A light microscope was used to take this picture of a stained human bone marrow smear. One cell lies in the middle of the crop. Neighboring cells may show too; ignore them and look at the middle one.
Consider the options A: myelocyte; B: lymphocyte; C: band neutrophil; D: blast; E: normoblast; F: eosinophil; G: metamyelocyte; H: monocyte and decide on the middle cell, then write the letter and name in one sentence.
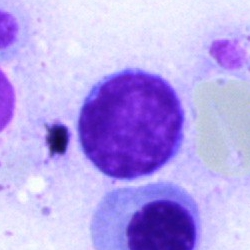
Option B is the right one, for the cell in the middle is a lymphocyte.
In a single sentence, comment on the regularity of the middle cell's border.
The outline traces a smooth curve with no projections along it.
